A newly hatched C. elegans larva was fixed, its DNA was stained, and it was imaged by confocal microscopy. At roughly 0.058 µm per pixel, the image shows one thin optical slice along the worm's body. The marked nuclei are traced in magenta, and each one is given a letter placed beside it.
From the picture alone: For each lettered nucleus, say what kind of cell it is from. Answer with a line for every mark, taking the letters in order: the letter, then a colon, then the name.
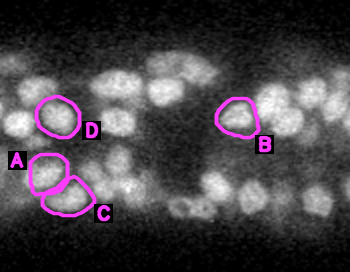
A: pharyngeal muscle cell
B: GLR cell
C: neuron
D: neuron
